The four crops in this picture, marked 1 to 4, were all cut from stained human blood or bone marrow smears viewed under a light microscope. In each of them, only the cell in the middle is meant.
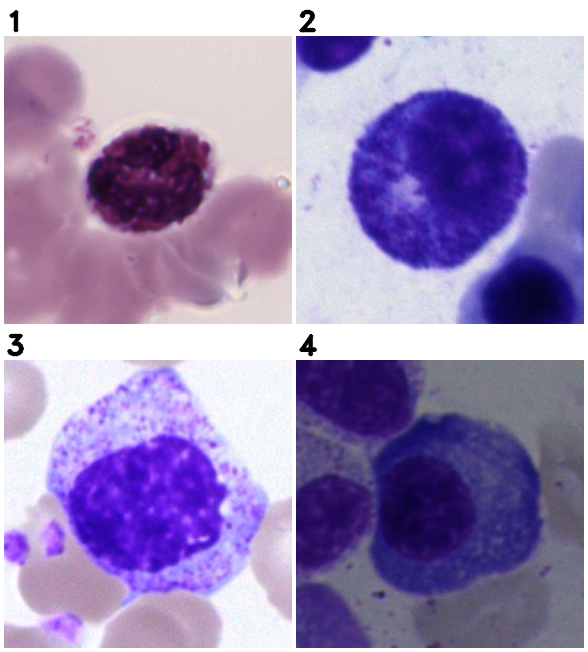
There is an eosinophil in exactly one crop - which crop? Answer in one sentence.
The crop in which an eosinophil is shown is crop 1.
